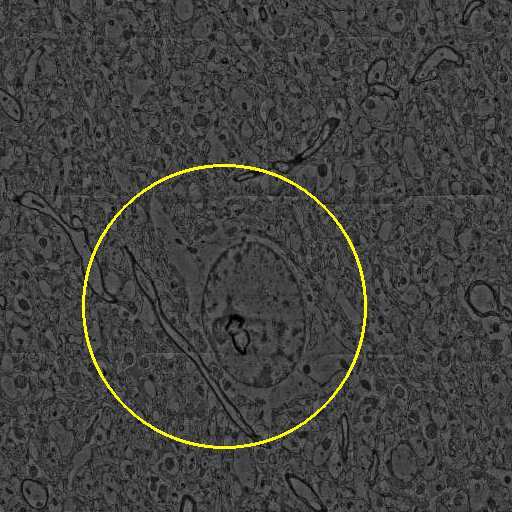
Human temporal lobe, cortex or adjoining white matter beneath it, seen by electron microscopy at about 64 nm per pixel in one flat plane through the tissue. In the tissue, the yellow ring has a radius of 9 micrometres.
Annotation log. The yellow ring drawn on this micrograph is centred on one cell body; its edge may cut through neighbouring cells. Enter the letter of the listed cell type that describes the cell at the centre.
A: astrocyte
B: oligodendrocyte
A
